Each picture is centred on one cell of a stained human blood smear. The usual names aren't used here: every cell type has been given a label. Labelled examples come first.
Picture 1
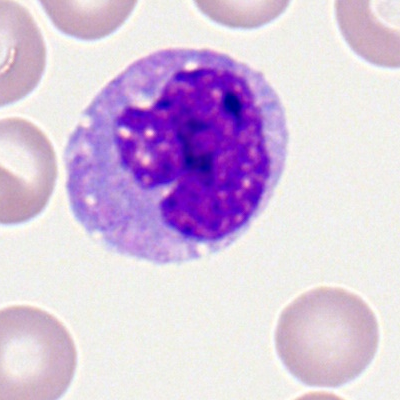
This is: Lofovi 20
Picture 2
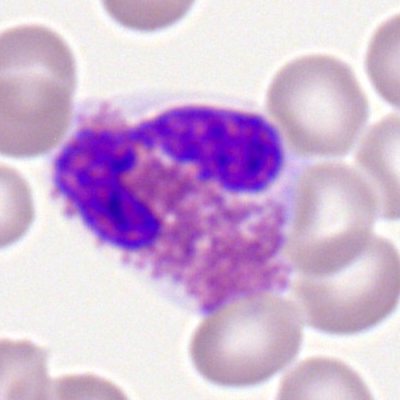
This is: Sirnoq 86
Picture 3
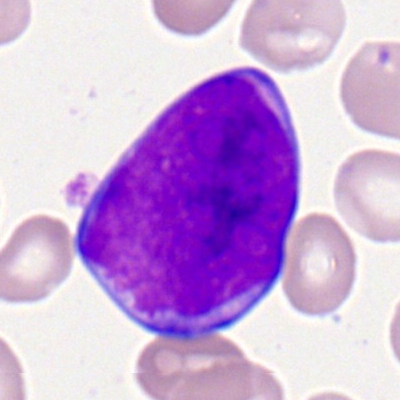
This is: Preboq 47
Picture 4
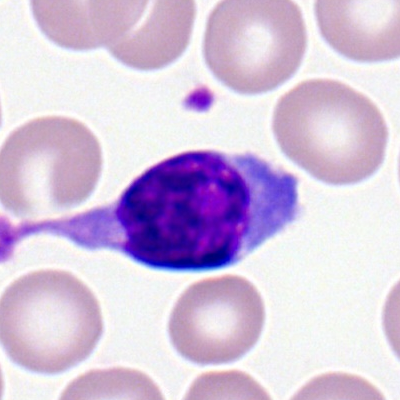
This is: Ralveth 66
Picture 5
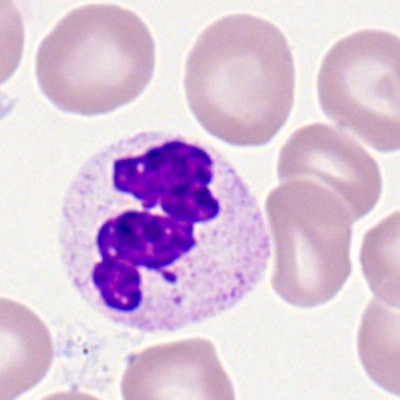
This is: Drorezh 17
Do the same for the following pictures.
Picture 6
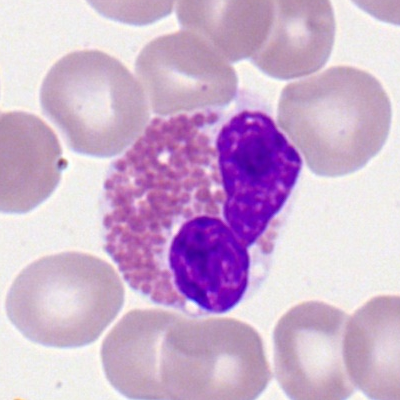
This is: Sirnoq 86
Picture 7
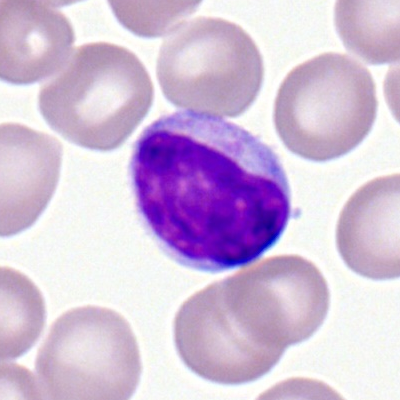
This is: Ralveth 66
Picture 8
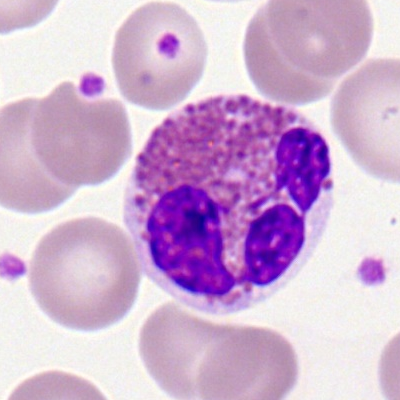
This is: Sirnoq 86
